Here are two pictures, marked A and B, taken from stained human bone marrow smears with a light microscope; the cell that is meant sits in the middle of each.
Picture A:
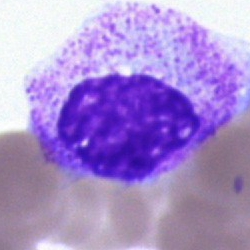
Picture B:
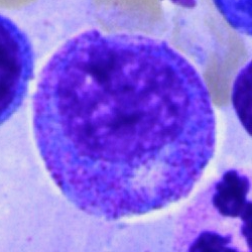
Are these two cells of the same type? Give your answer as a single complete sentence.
No; the cell in picture A is a myelocyte, while the one in picture B is a promyelocyte.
